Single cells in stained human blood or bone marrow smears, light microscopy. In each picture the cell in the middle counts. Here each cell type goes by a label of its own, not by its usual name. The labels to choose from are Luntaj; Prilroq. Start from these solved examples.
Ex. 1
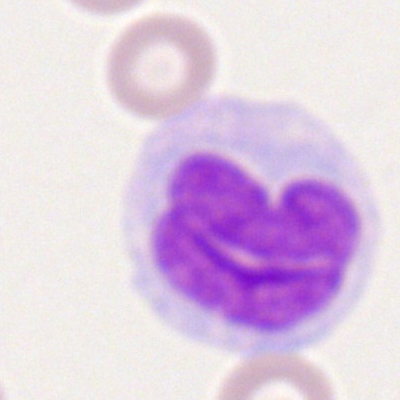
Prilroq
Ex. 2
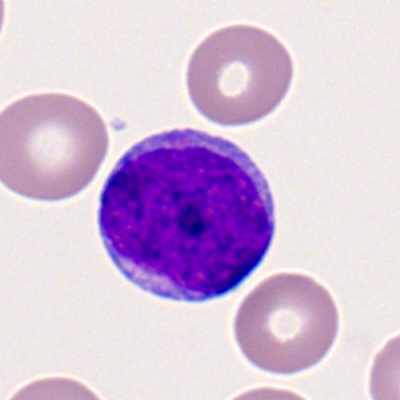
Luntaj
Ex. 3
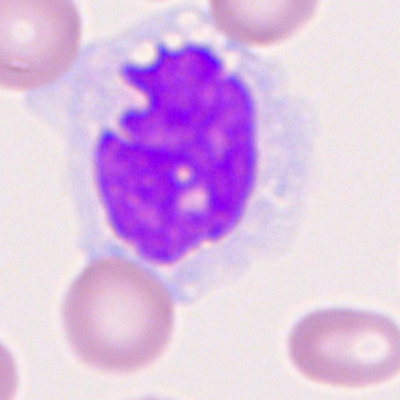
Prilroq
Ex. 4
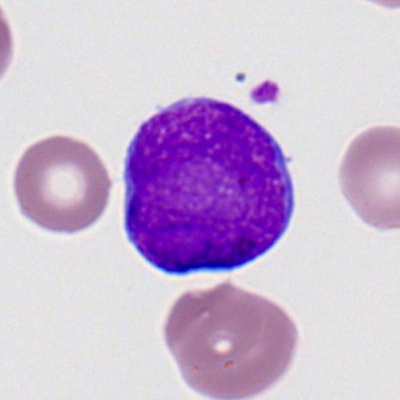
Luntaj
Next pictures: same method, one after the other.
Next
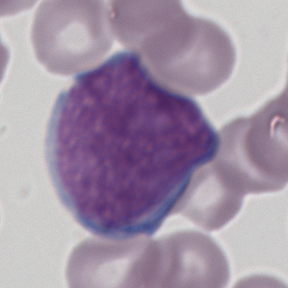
Luntaj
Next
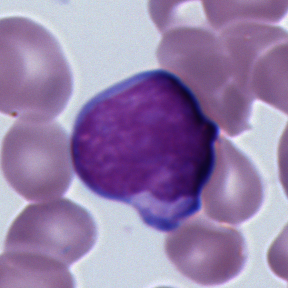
Luntaj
